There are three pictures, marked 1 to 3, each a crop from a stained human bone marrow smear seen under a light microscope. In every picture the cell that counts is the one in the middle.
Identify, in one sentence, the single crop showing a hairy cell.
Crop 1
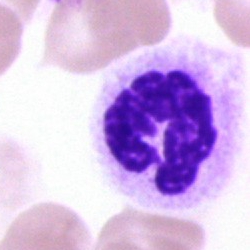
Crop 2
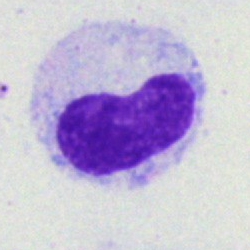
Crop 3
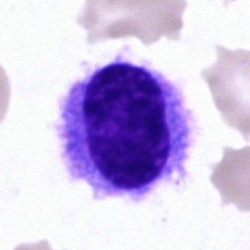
When the crops are compared, crop 3 is the one showing a hairy cell.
